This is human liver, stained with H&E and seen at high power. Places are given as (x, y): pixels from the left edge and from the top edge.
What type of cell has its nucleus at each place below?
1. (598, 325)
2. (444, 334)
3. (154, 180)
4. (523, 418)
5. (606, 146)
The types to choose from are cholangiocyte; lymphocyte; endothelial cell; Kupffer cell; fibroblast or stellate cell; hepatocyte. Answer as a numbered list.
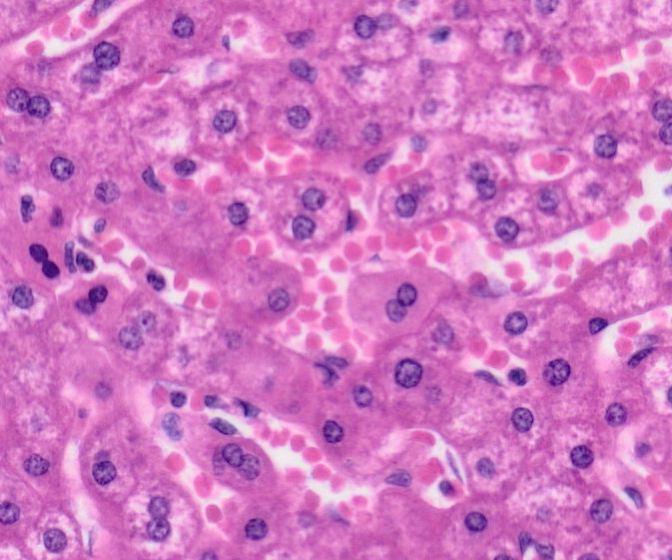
1. fibroblast or stellate cell
2. hepatocyte
3. endothelial cell
4. hepatocyte
5. hepatocyte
